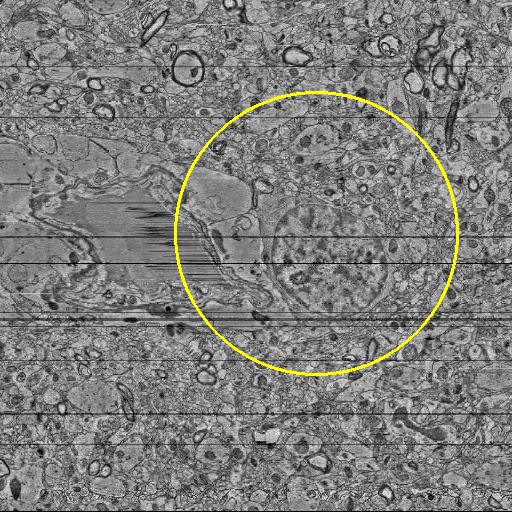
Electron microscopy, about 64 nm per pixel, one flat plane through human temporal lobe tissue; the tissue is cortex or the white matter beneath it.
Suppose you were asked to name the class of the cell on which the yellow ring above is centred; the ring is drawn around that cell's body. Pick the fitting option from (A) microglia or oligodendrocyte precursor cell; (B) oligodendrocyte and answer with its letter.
B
